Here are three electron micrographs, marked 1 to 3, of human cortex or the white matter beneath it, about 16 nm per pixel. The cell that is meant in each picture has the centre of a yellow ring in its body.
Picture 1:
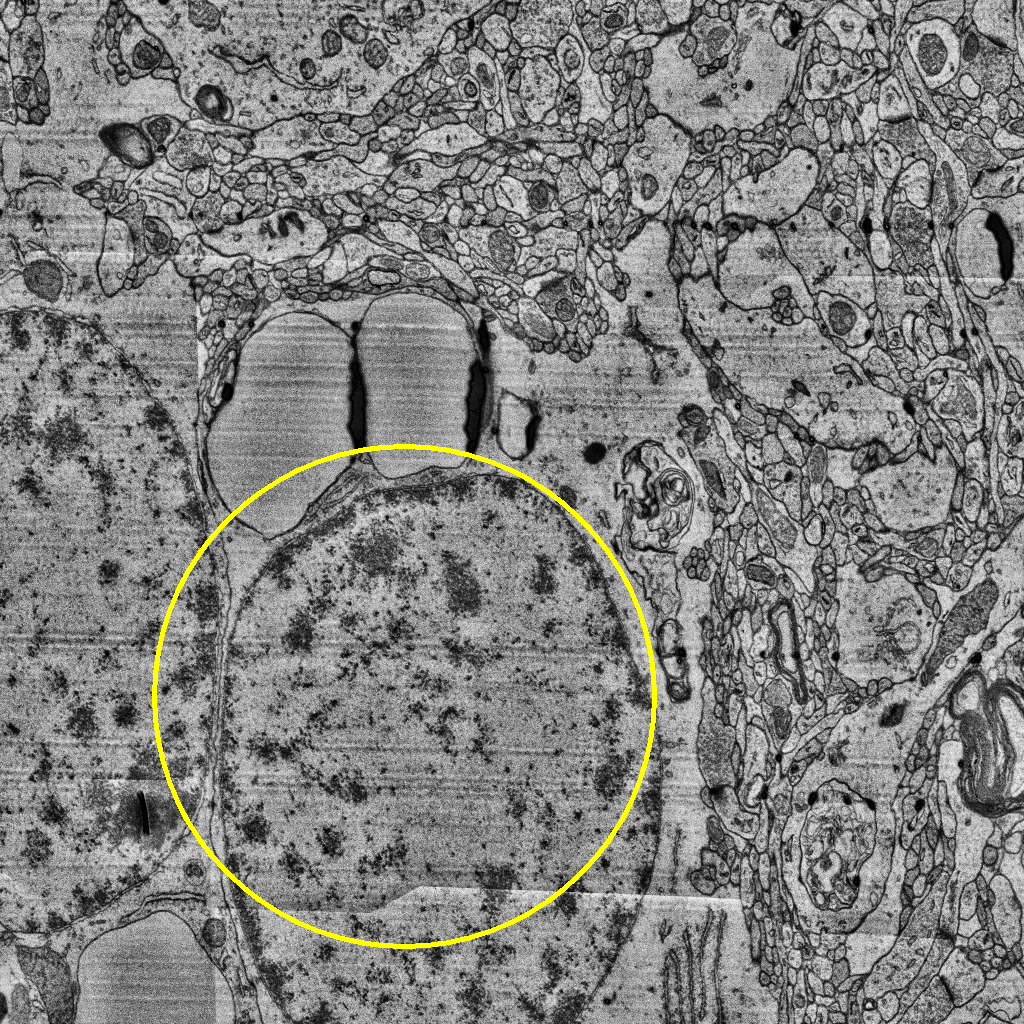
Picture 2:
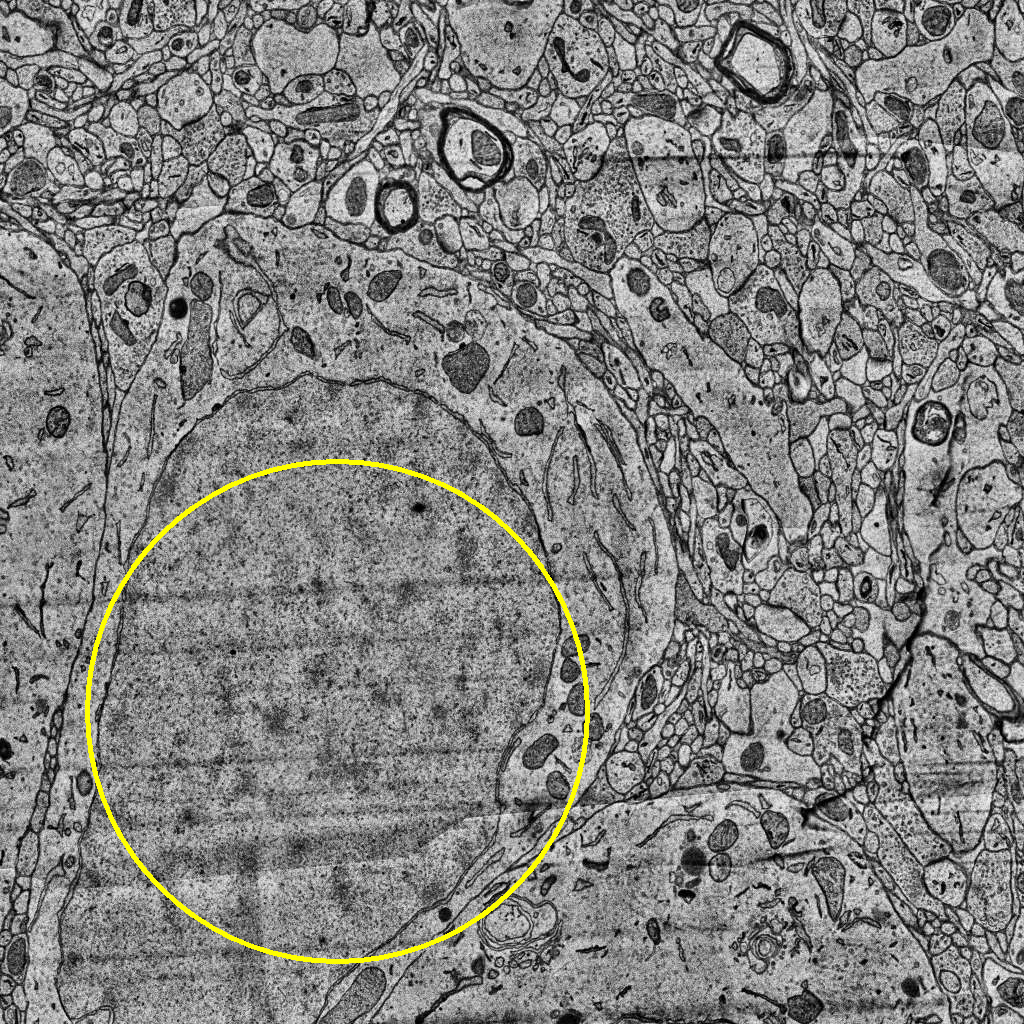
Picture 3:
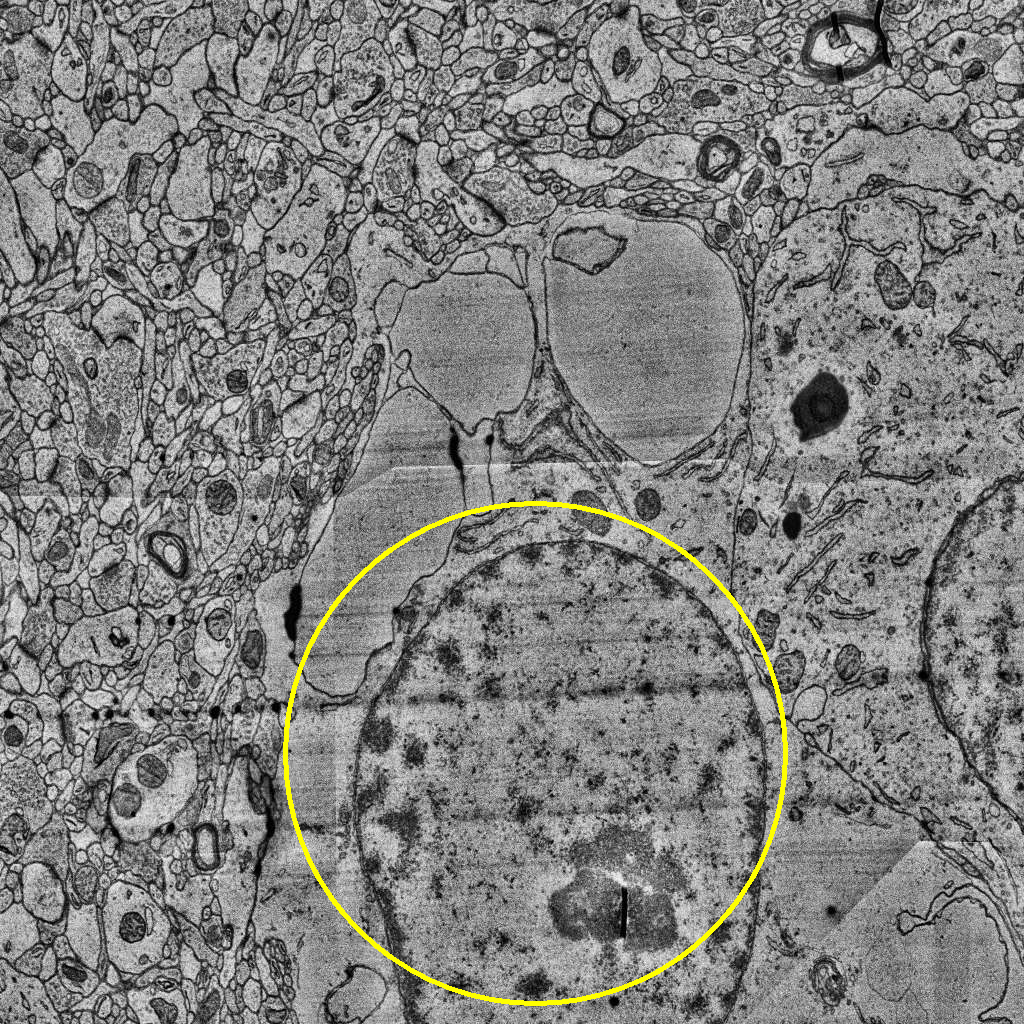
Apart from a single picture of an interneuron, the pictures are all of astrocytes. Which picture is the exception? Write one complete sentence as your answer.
The picture with the interneuron is 2.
